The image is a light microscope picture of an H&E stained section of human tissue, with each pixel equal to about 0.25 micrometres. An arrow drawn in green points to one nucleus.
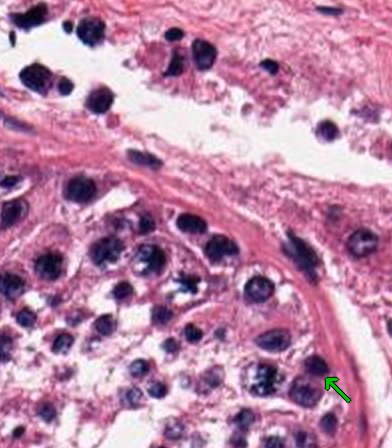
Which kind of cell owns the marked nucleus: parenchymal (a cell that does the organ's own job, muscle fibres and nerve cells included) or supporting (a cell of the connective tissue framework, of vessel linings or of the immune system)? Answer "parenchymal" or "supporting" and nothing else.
parenchymal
